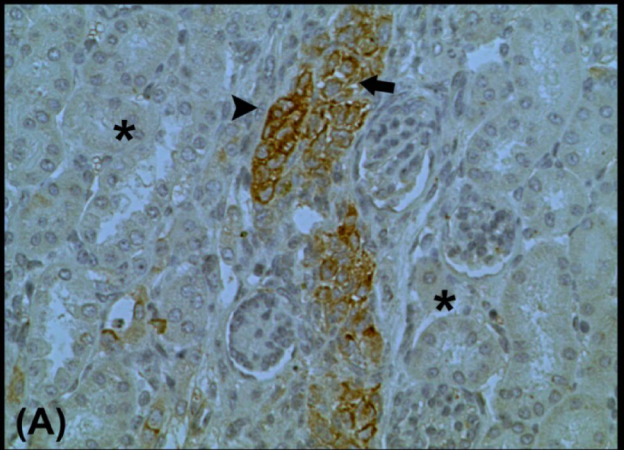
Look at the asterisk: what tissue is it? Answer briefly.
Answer: Renal parenchyma.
